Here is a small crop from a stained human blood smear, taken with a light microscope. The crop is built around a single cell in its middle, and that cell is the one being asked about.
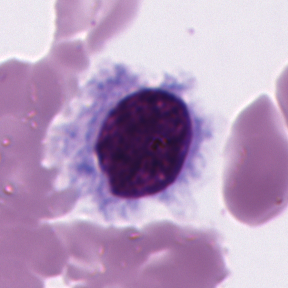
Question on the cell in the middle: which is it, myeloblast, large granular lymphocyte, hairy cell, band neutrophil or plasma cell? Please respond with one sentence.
The crop's centre is taken up by a hairy cell.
